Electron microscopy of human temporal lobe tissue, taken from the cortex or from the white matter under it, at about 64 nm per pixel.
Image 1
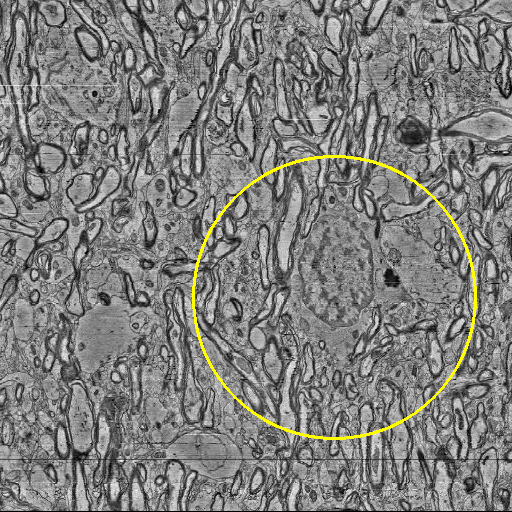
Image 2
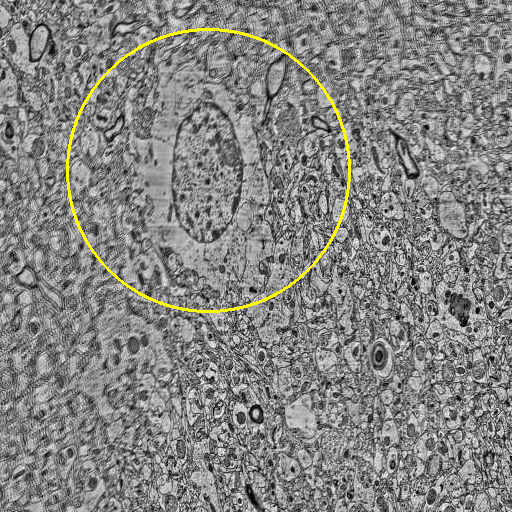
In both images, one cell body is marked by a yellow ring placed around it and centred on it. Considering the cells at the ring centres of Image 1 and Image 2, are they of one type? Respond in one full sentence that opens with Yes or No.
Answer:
No, two types apply to the ring-centred cells of Image 1 and Image 2.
